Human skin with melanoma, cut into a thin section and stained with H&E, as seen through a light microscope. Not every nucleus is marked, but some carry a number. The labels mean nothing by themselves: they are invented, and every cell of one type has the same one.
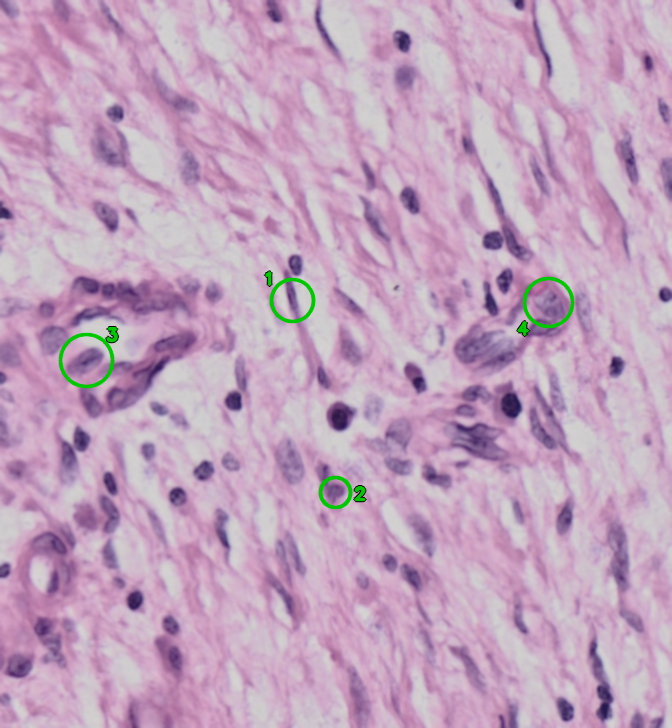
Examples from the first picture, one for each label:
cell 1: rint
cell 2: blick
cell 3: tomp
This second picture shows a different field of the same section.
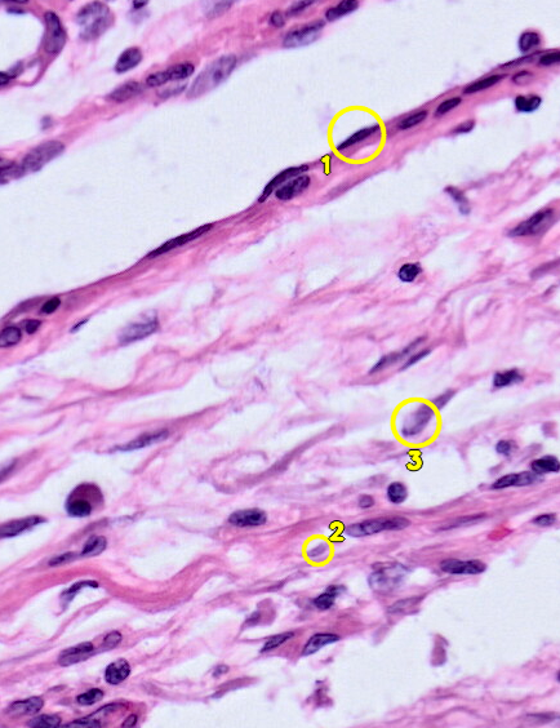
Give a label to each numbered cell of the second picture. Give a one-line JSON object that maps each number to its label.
{"1": "tomp", "2": "rint", "3": "rint"}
